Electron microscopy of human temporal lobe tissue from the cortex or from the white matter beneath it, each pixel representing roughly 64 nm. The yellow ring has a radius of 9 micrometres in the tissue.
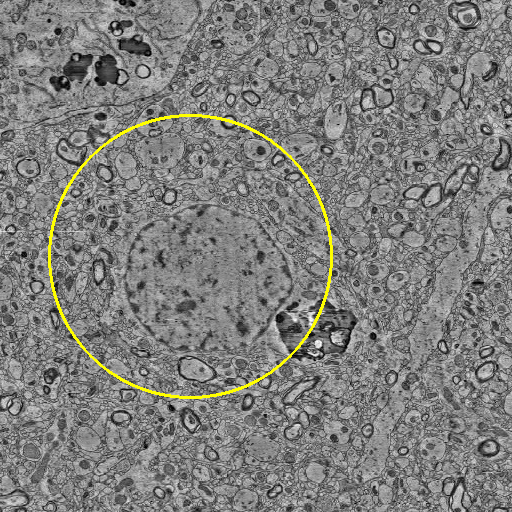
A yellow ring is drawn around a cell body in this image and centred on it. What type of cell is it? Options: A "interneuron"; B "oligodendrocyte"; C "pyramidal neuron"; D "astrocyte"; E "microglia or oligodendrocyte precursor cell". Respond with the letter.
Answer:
D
